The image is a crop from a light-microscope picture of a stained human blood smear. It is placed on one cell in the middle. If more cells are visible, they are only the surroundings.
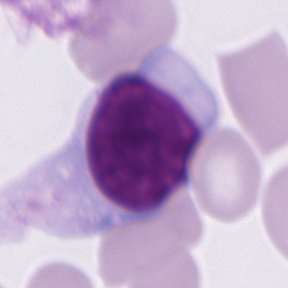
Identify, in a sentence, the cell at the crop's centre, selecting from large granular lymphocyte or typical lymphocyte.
The middle of this crop holds a large granular lymphocyte.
